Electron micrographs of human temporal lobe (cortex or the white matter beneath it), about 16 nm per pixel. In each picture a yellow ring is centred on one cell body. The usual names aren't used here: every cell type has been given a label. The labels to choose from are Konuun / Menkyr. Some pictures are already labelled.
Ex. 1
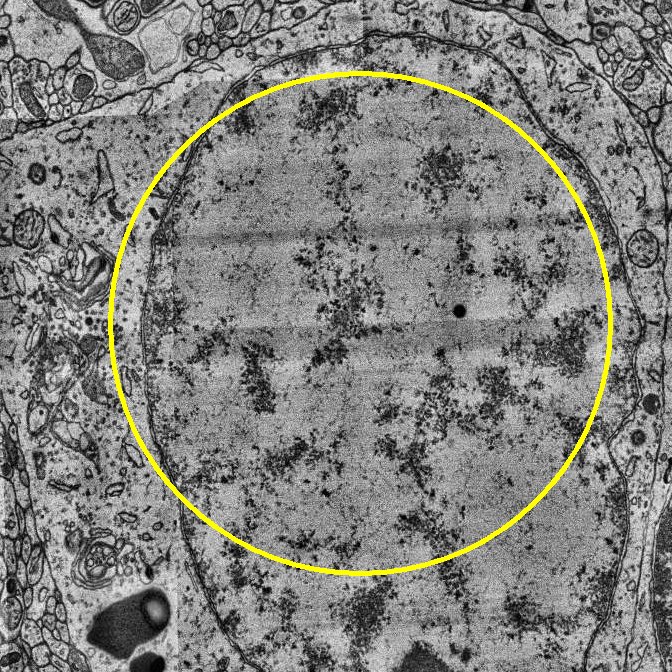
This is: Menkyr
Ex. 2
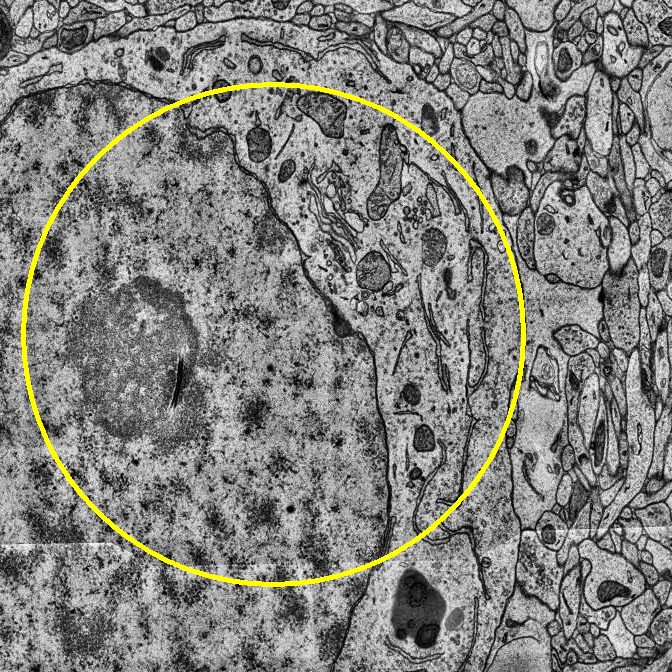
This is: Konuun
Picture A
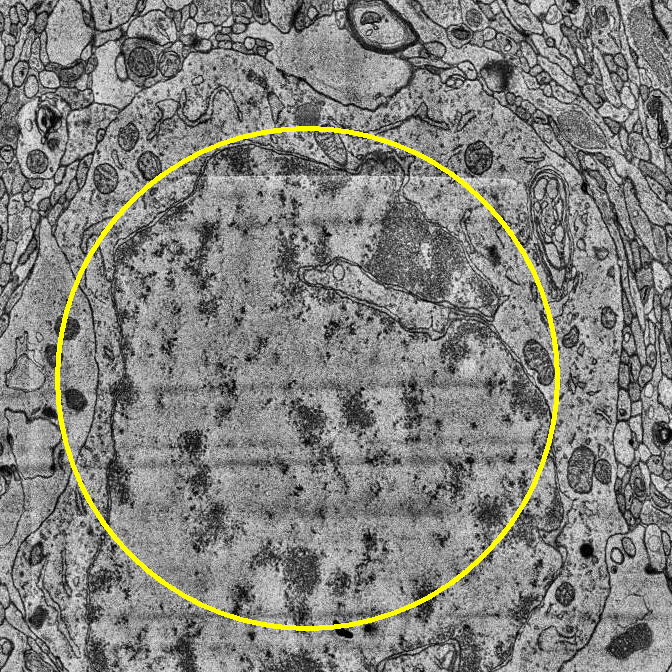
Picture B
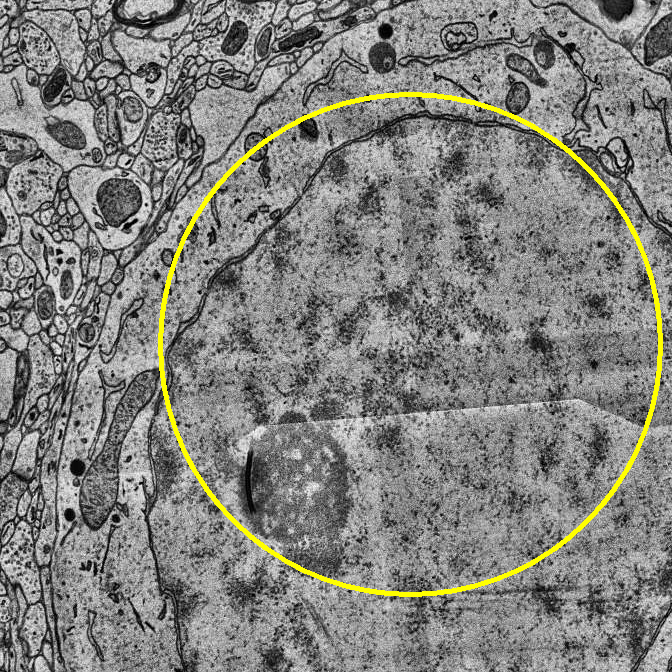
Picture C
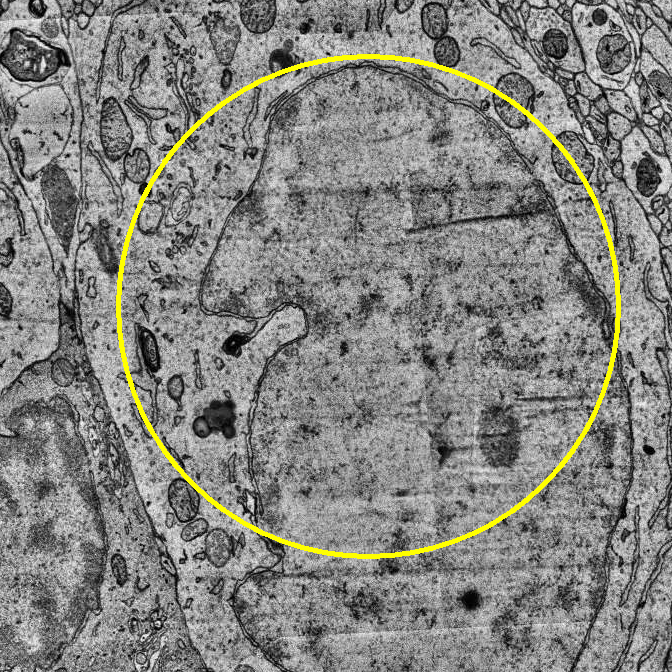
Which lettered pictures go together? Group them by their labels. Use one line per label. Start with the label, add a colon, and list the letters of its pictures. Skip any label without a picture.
Konuun: A, B, C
